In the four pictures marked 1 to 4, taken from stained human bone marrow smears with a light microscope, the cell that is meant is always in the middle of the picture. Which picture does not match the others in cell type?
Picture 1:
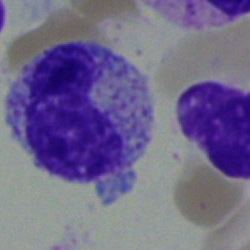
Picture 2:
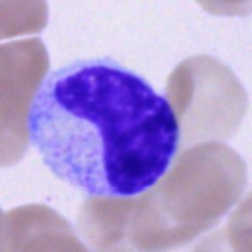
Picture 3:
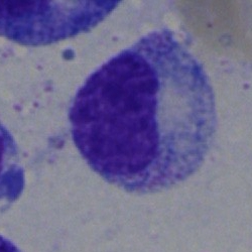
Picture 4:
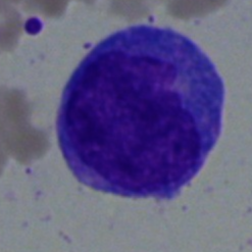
4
